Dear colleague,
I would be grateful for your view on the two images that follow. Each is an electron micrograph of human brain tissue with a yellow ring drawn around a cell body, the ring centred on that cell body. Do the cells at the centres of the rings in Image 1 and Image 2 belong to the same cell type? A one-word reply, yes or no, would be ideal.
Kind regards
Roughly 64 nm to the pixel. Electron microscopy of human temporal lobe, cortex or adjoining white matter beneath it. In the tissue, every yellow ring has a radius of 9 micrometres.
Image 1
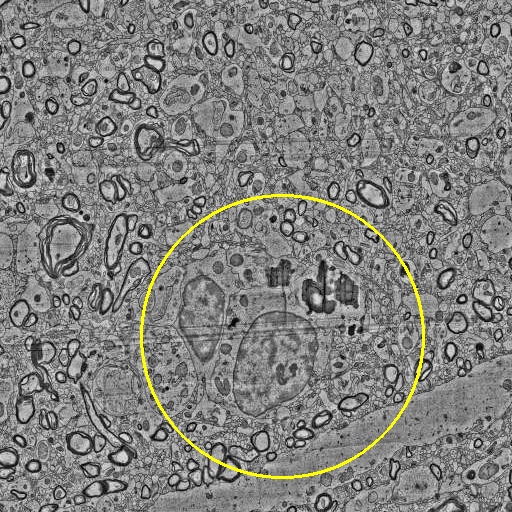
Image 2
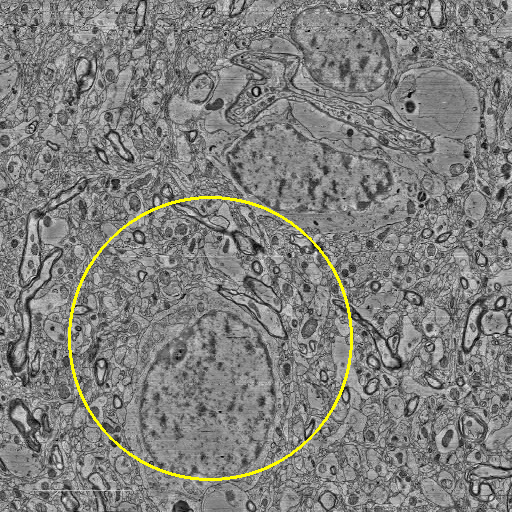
no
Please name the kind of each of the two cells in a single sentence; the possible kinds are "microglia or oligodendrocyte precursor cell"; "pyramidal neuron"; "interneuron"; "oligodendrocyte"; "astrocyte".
In the first picture the ring is centred on an oligodendrocyte, and in the second on an interneuron.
